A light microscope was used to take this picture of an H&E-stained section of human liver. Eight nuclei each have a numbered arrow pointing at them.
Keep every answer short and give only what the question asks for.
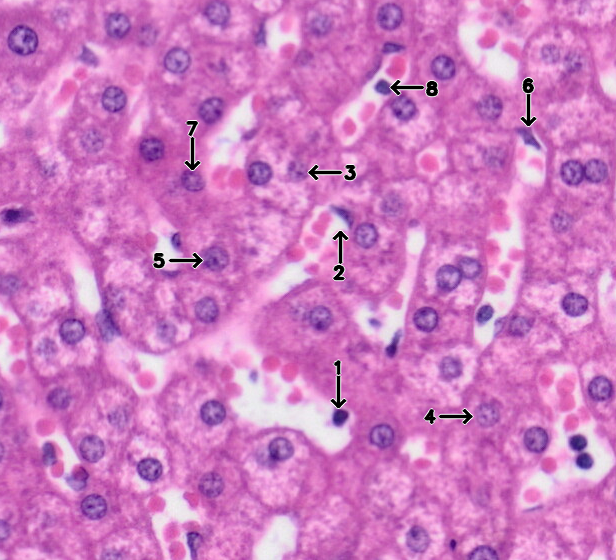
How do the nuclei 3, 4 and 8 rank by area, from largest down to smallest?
4, 3, 8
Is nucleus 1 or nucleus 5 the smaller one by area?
1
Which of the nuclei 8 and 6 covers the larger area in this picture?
6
